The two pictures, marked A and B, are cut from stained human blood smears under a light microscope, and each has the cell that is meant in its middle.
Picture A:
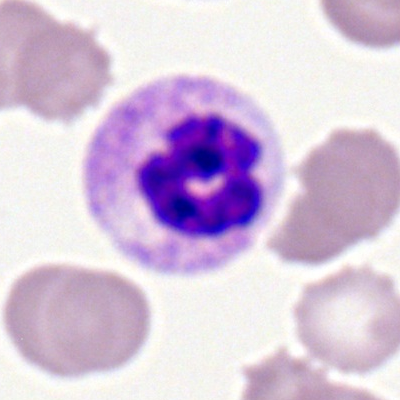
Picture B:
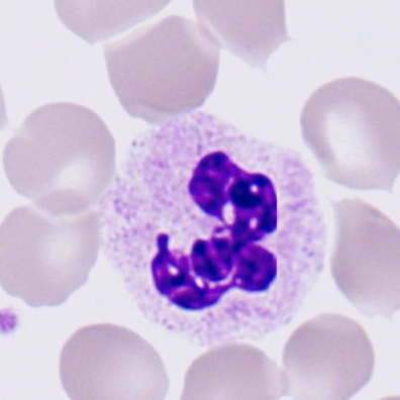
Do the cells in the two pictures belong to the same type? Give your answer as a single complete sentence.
Yes, both cells are segmented neutrophils.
